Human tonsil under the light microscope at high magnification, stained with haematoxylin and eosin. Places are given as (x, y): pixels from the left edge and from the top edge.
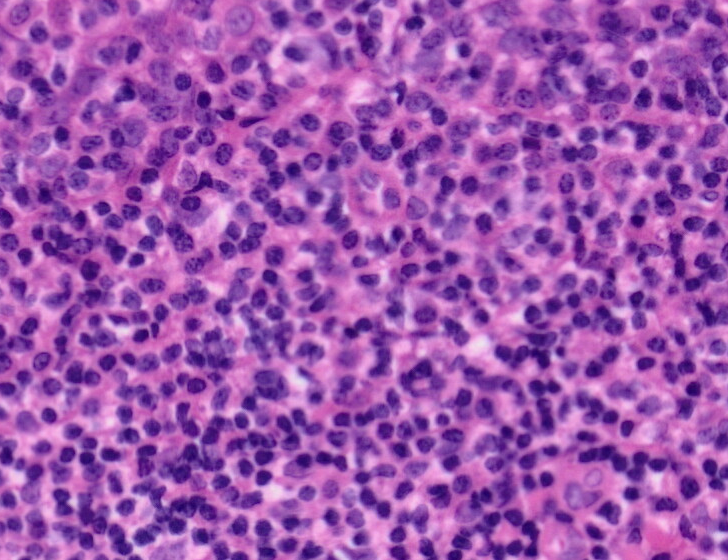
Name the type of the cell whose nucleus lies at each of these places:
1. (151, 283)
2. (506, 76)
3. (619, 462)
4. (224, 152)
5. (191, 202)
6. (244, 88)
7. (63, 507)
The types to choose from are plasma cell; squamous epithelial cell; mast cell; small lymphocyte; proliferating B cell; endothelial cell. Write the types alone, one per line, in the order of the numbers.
plasma cell
squamous epithelial cell
small lymphocyte
plasma cell
plasma cell
plasma cell
small lymphocyte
